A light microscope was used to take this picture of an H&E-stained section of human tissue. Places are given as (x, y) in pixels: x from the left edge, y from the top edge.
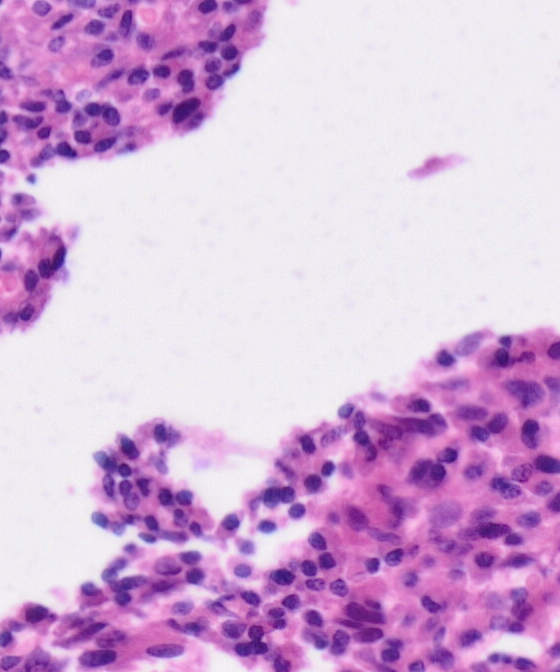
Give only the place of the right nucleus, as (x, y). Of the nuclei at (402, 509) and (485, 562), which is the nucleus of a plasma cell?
(485, 562)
